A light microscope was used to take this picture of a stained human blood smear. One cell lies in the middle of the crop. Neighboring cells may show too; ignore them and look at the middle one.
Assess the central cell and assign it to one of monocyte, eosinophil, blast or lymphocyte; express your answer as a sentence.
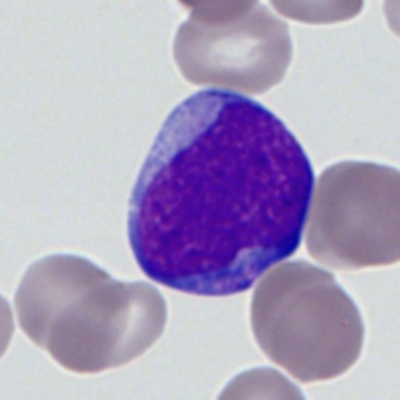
Located at the centre of the crop is a blast.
